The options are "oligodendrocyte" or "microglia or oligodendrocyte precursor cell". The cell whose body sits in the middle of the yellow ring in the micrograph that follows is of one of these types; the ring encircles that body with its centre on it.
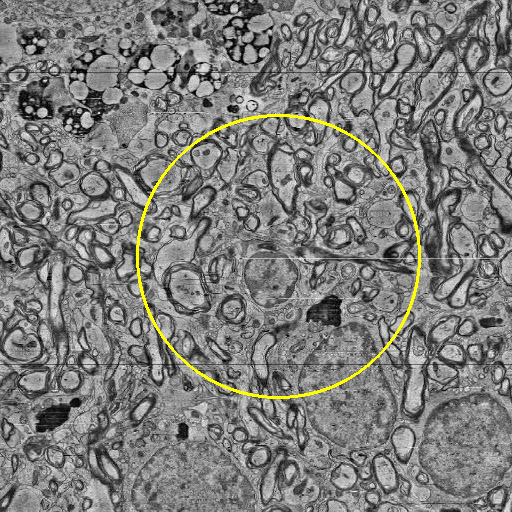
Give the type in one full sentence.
Going by the micrograph, the cell centred in the yellow ring is a microglial cell or oligodendrocyte precursor cell.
